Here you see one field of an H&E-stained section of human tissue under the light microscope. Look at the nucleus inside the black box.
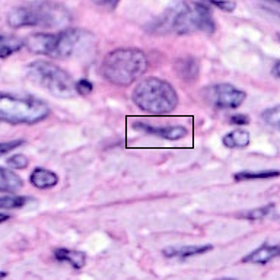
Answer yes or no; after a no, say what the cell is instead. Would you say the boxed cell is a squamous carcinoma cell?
No, it is a fibroblast.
